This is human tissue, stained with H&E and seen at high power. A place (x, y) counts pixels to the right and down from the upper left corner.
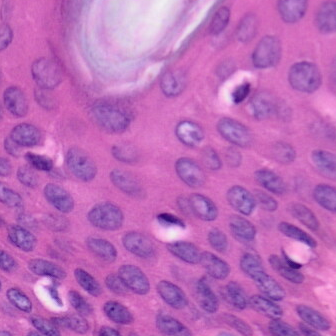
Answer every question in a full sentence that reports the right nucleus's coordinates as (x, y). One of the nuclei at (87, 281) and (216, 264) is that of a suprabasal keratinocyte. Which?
The nucleus found at (216, 264) belongs to a suprabasal keratinocyte.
